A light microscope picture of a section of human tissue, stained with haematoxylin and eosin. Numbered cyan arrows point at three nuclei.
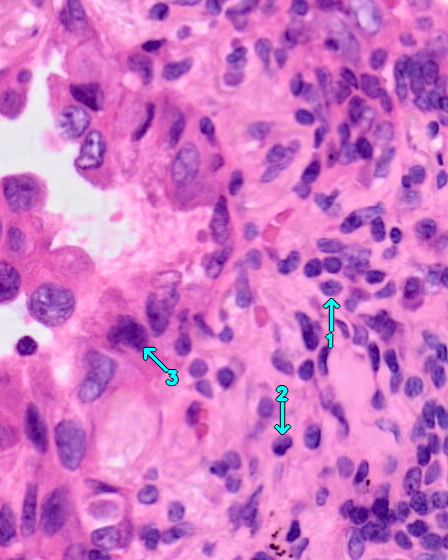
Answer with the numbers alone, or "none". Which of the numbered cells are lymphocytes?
1, 2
